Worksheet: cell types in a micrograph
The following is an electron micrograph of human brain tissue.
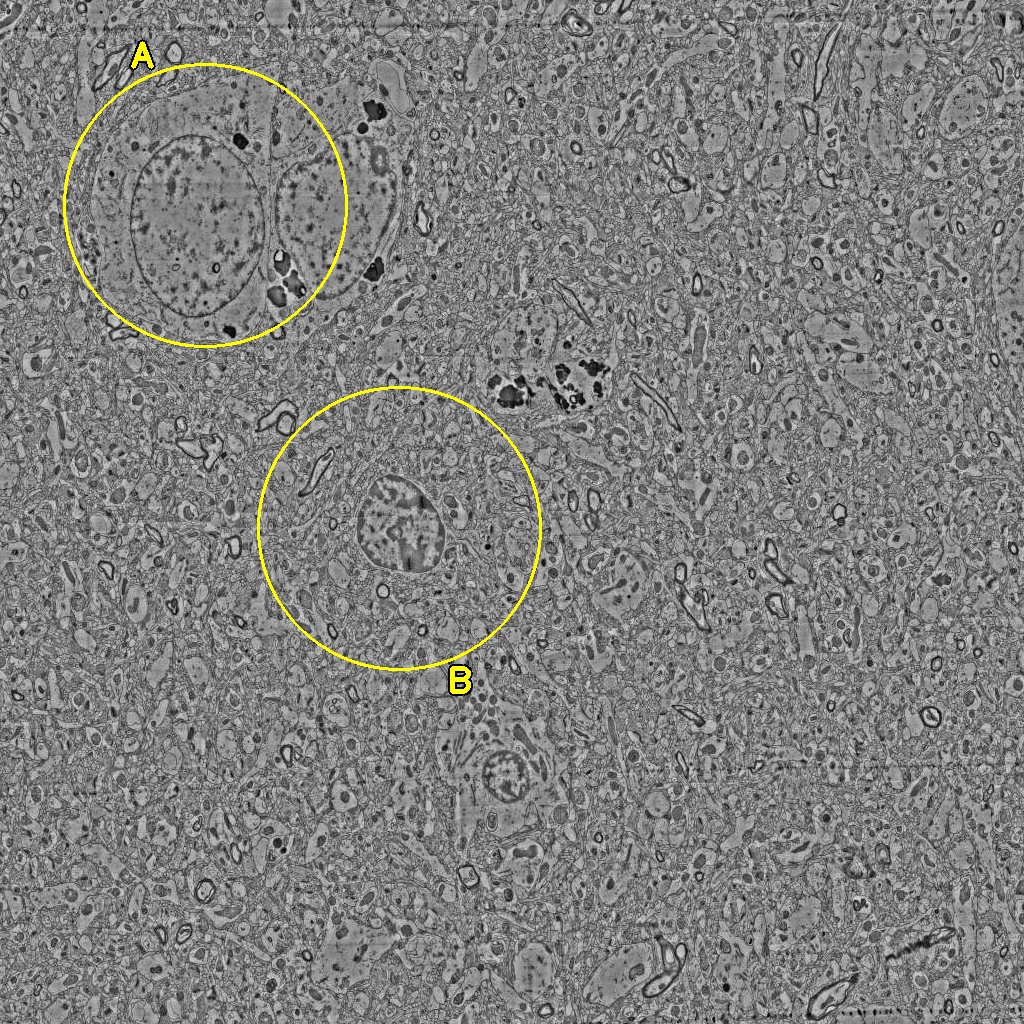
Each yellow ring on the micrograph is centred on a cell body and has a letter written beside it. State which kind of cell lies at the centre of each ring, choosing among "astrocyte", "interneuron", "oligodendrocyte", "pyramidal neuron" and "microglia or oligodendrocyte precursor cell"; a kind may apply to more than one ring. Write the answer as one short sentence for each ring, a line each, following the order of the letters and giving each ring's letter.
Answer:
Ring A has a pyramidal neuron in its centre.
Ring B has a microglial cell or oligodendrocyte precursor cell in its centre.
